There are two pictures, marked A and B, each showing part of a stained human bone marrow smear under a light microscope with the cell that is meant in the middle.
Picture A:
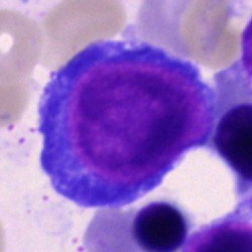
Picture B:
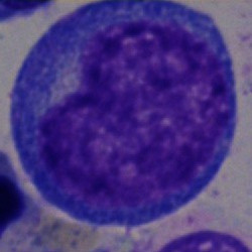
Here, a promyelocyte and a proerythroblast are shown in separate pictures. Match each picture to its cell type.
A: proerythroblast
B: promyelocyte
